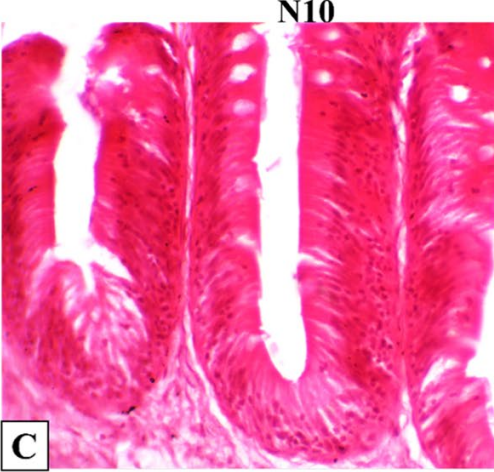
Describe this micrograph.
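Several broad folds of the intestinal mucosa rise from a common base, with clear white lumen between them. Their surfaces are lined by tall, closely packed columnar epithelial cells whose elongated nuclei line up in a band, giving a deep pink, striated look. A few pale, clear rounded spaces sit within the epithelium near the top of the folds. Each fold has a thin central core of connective tissue with small dark nuclei, continuous with the tissue at the base.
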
